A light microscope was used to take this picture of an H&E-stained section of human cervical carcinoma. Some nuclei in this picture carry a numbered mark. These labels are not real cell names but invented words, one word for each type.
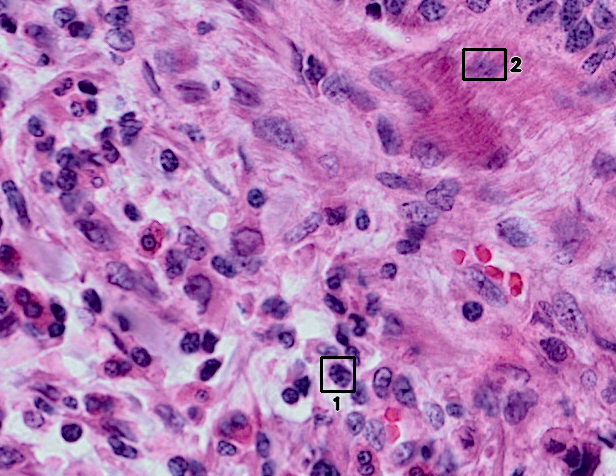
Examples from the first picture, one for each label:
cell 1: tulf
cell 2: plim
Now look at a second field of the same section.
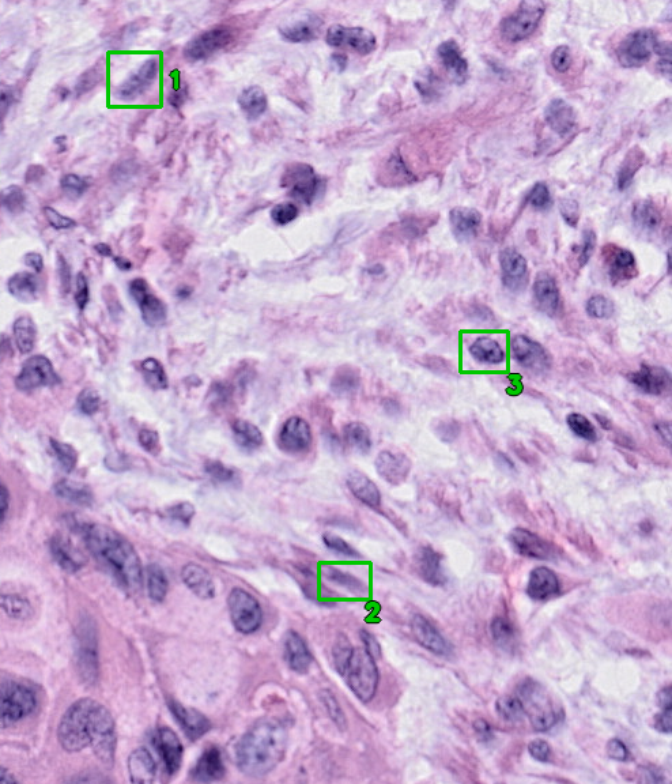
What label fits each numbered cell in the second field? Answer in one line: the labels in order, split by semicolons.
plim; plim; tulf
